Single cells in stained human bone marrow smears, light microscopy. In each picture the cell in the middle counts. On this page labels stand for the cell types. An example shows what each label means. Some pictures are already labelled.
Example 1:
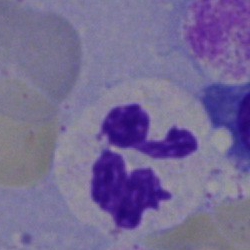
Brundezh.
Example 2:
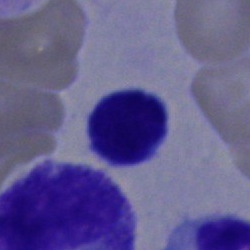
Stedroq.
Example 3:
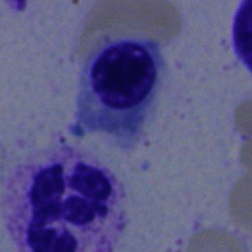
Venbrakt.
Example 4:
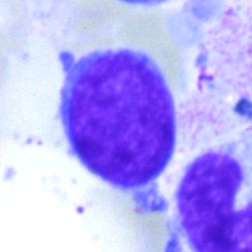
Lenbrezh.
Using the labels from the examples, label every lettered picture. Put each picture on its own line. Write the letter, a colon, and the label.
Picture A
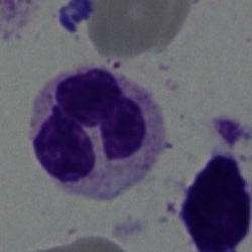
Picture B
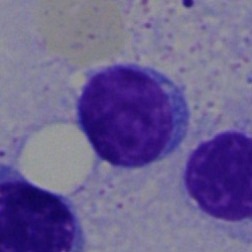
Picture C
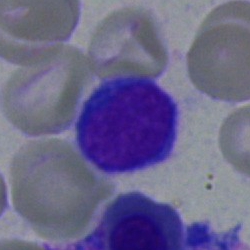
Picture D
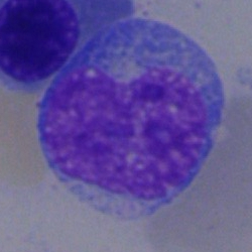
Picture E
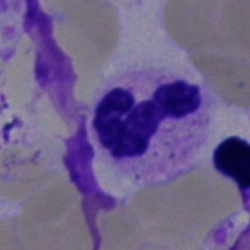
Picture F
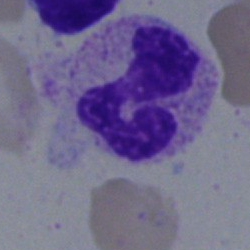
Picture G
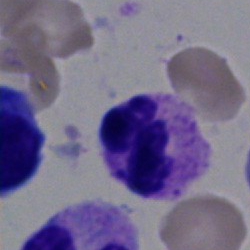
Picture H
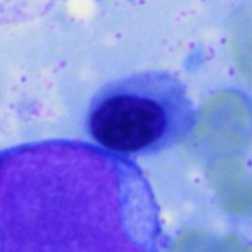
A: Brundezh.
B: Stedroq.
C: Stedroq.
D: Lenbrezh.
E: Brundezh.
F: Brundezh.
G: Brundezh.
H: Venbrakt.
